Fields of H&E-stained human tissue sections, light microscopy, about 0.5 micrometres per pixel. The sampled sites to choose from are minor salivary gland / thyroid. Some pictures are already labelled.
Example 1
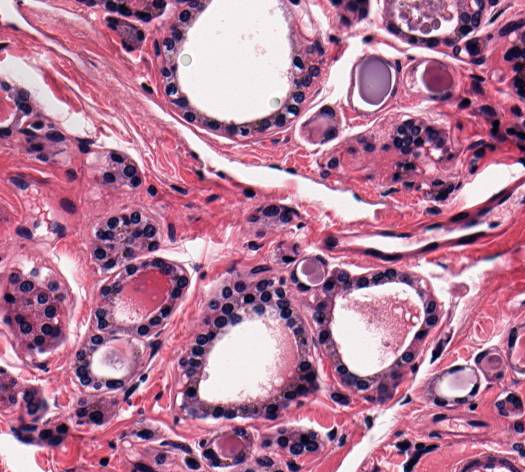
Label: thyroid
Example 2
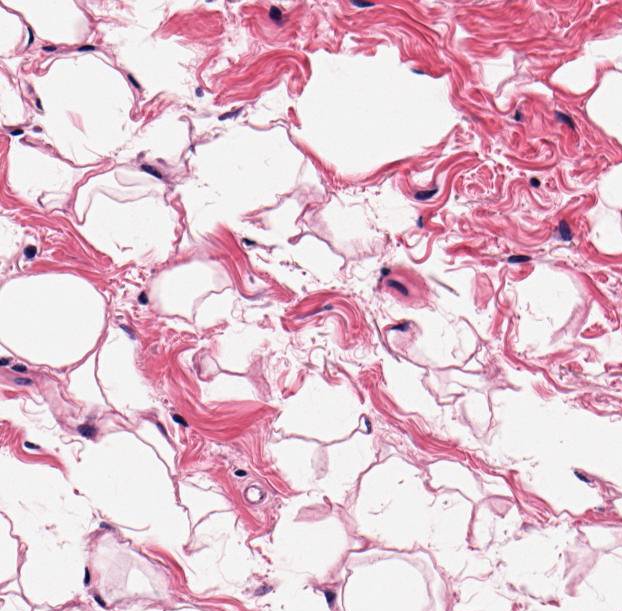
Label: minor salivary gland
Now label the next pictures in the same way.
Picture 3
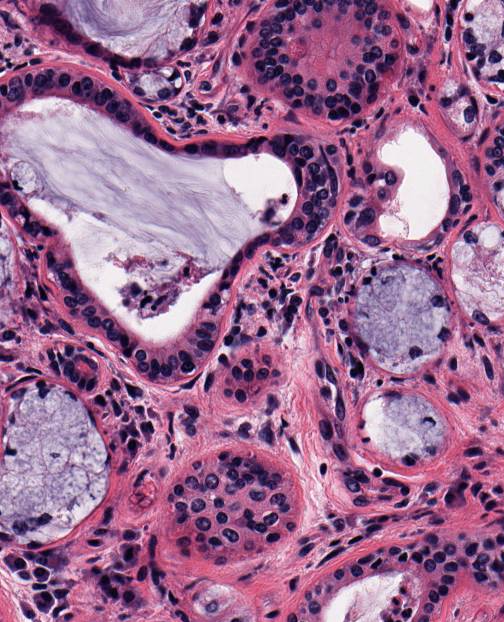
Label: minor salivary gland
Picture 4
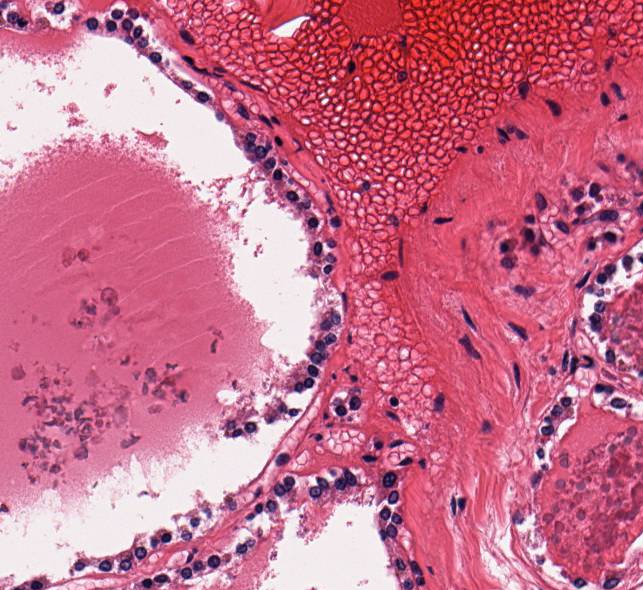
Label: thyroid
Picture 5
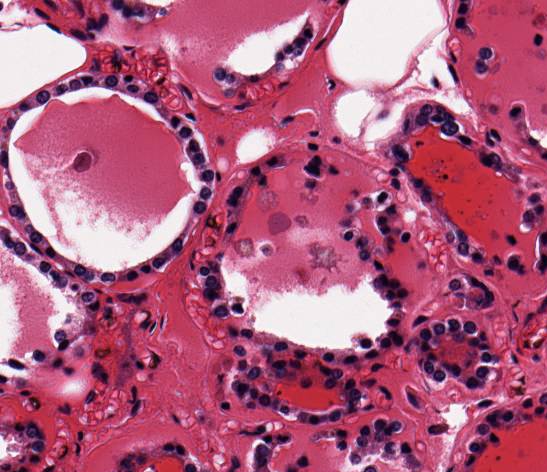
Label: thyroid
